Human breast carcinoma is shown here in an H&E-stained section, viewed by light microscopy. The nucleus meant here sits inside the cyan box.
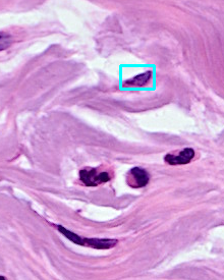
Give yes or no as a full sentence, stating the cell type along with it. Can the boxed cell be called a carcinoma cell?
No, by cell type the boxed cell is a fibroblast, not a carcinoma cell.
